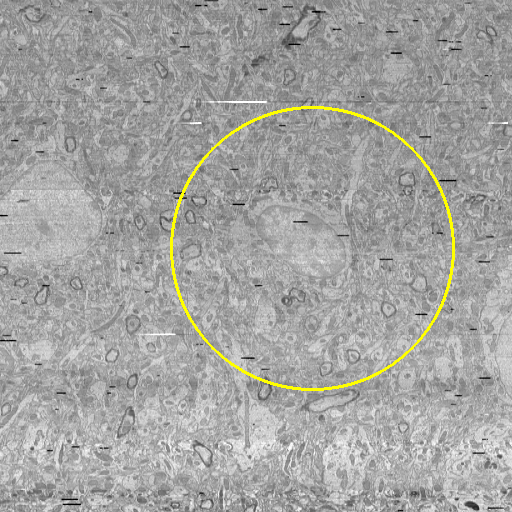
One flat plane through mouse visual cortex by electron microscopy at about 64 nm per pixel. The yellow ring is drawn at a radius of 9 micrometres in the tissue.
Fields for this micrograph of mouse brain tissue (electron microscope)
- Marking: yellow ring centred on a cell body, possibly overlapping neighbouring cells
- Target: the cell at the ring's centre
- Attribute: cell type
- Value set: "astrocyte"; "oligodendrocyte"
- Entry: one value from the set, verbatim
oligodendrocyte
